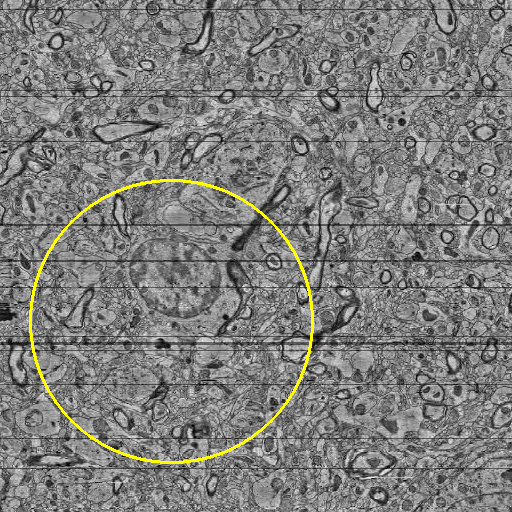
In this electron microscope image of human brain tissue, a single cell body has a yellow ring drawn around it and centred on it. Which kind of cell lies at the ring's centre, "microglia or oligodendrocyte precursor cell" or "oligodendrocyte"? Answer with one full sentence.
It is an oligodendrocyte whose cell body lies at the centre of the yellow ring here.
